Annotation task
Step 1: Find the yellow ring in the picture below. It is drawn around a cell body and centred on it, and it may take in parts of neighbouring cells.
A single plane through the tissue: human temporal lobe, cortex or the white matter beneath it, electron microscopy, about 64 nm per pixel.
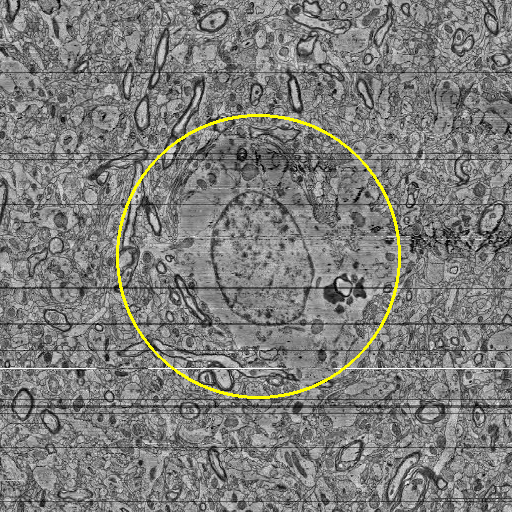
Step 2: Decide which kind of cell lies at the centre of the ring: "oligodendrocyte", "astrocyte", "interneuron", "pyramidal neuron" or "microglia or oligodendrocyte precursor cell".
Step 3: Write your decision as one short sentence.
The kind of cell at the ring's centre is an astrocyte.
